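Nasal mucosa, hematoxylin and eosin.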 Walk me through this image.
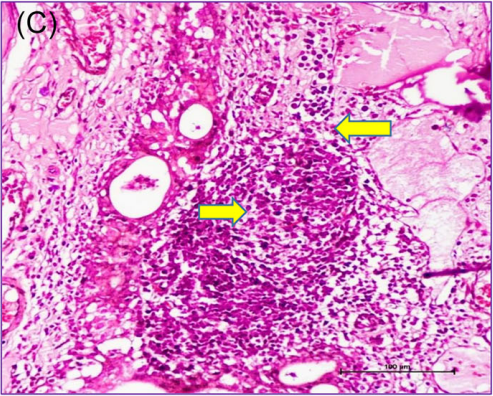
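Within the pink connective tissue beneath the lining lies a dense, roughly round sheet of small cells with round, dark-purple nuclei and scant cytoplasm, crowding out the usual loose stroma. Small vessels and gland spaces sit around its edges. This is a lymphocytic infiltrate in the stroma, a sign of inflammation.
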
